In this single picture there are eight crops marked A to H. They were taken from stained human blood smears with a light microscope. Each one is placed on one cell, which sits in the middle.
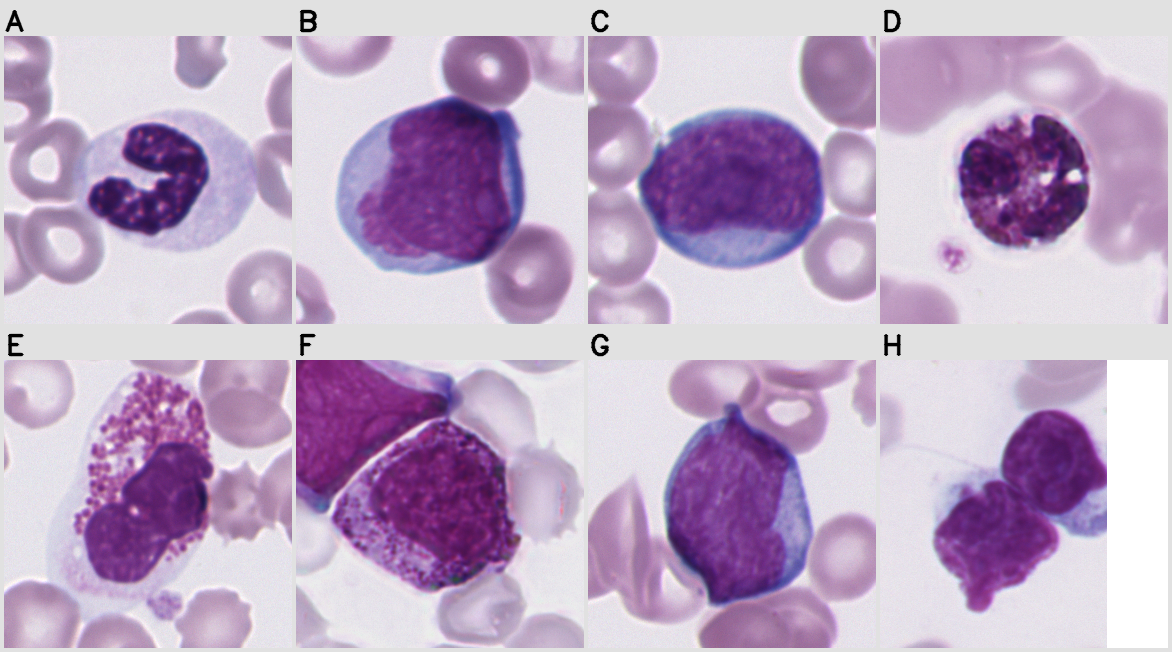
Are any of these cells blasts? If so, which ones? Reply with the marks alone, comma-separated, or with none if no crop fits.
B, C, G, H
